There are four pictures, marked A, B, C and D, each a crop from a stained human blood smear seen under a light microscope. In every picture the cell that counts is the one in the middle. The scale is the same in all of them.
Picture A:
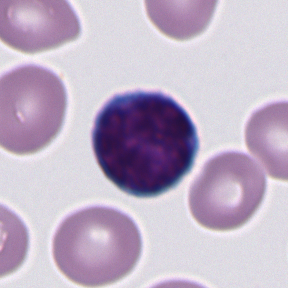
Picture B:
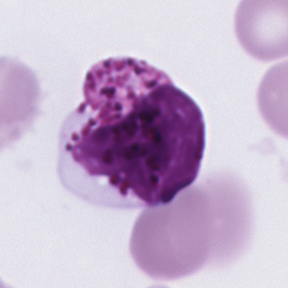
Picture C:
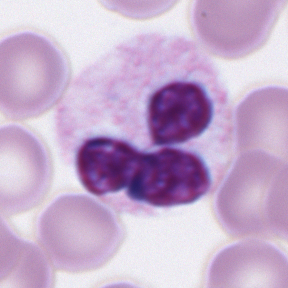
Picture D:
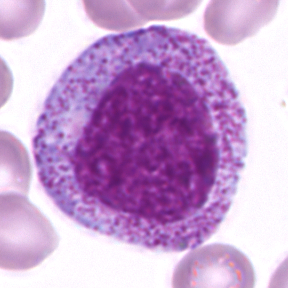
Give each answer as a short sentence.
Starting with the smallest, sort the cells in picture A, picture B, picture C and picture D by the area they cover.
Smallest first: A, B, C, D.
